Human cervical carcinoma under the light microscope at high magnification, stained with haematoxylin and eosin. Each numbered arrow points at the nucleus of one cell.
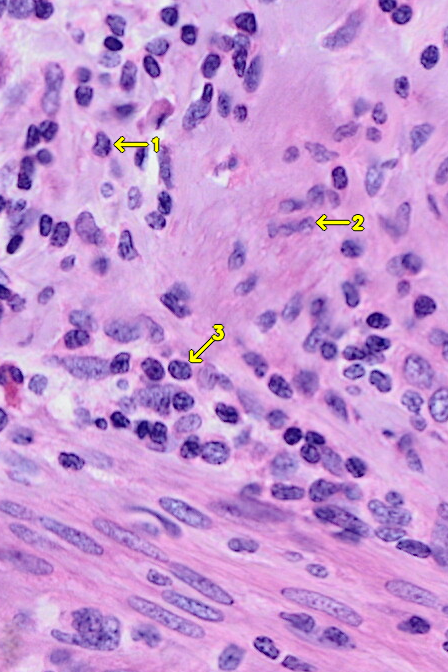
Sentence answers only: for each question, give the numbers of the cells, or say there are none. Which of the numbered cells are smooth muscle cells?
Cell 2 is the only numbered cell that is a smooth muscle cell.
